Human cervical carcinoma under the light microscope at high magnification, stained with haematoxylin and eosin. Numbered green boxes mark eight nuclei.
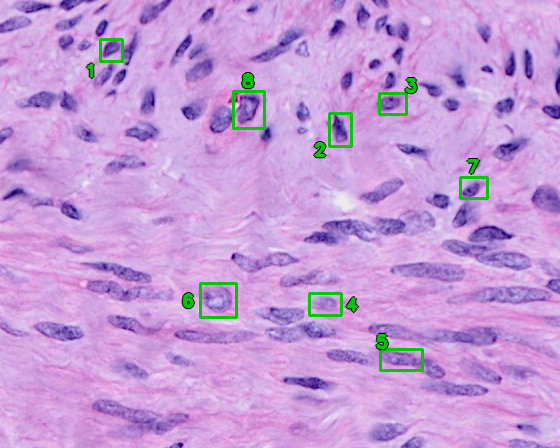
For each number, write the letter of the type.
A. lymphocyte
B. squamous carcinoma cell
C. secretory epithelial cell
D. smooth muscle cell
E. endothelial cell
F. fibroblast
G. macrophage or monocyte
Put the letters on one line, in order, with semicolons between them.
D; F; D; D; D; D; F; E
